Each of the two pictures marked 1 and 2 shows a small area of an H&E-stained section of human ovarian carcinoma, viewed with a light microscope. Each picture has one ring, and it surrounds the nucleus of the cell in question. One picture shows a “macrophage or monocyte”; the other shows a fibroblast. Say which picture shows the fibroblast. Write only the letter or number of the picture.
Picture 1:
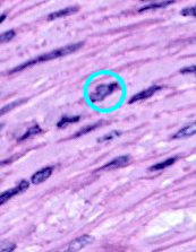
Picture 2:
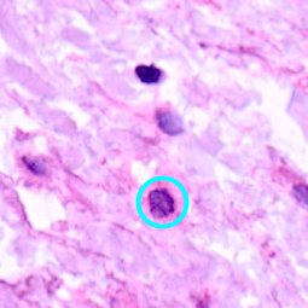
1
